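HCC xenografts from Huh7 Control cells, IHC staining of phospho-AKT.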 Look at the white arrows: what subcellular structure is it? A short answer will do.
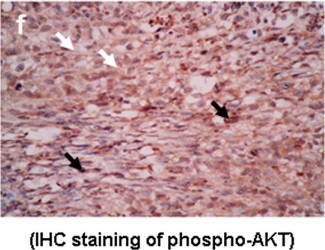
Cytoplasm.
